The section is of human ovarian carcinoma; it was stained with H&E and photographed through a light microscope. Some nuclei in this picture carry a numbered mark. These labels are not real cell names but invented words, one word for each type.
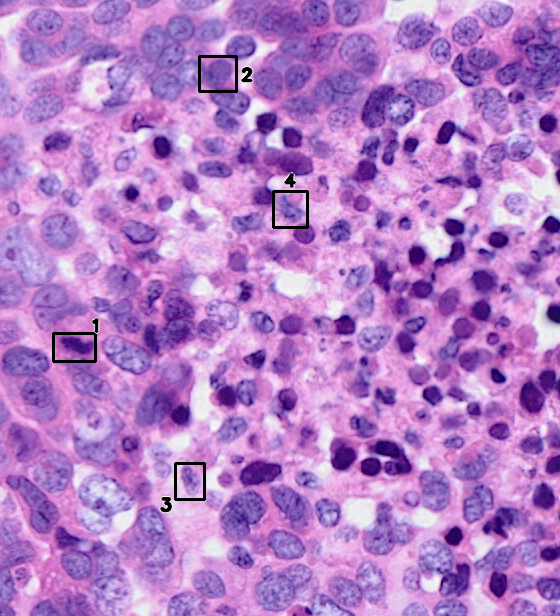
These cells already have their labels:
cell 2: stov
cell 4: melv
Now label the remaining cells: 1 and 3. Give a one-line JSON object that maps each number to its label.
{"1": "stov", "3": "melv"}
